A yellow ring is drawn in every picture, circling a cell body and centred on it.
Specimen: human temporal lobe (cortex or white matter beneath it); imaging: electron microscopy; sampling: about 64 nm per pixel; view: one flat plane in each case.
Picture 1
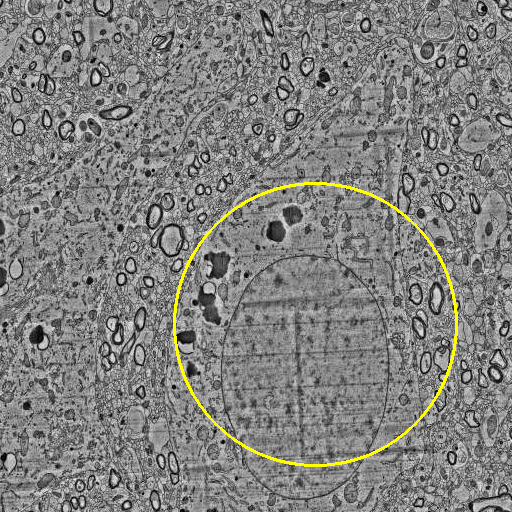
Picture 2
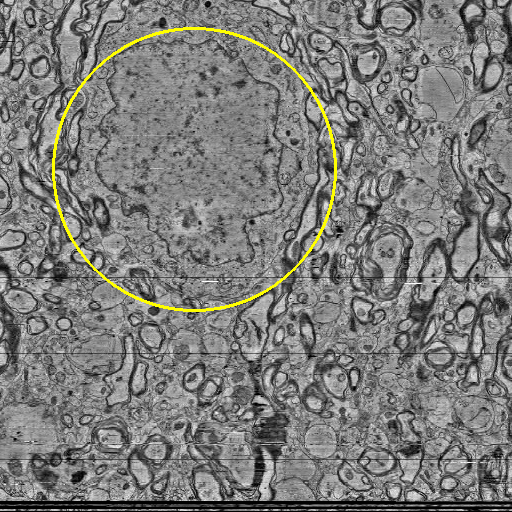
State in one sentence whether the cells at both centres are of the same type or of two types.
The cells at the two ring centres, one per picture, are of the same type.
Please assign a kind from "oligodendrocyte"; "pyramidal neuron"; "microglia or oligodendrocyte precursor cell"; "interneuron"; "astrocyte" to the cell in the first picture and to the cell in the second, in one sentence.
Both pictures show a pyramidal neuron at the centre of the ring.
